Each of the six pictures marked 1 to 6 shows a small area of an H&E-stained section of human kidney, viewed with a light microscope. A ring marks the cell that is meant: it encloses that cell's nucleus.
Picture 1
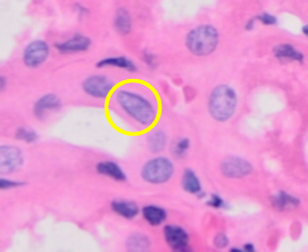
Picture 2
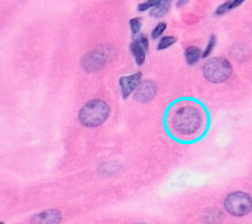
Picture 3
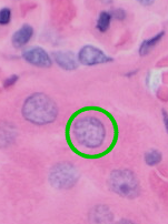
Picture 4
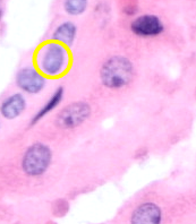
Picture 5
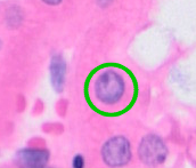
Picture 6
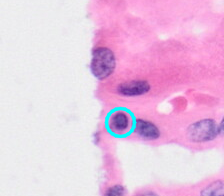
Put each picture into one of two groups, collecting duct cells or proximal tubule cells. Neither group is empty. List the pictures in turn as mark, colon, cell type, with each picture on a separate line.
1: collecting duct cell
2: proximal tubule cell
3: proximal tubule cell
4: collecting duct cell
5: proximal tubule cell
6: collecting duct cell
